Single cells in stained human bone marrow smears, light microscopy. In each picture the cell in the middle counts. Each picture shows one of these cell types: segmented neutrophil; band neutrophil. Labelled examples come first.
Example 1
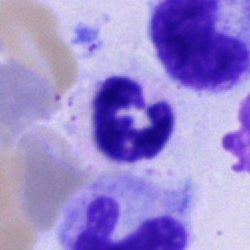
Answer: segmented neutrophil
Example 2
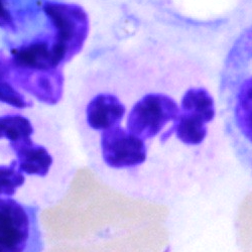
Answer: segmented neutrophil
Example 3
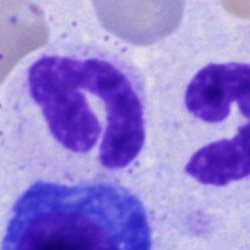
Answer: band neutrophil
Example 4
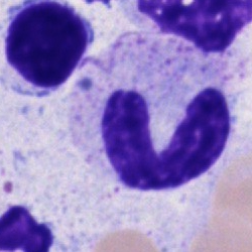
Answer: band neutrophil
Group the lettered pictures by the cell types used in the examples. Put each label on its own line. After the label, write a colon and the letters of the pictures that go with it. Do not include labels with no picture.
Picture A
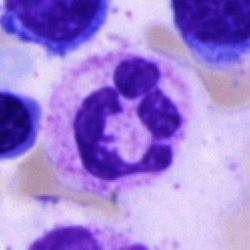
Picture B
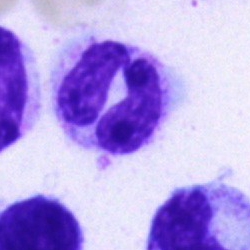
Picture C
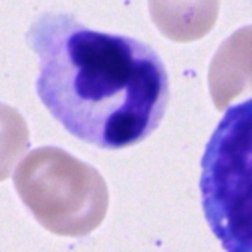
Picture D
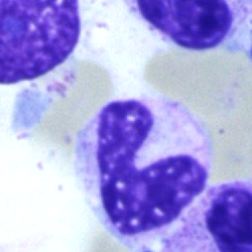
segmented neutrophil: A, B, C
band neutrophil: D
